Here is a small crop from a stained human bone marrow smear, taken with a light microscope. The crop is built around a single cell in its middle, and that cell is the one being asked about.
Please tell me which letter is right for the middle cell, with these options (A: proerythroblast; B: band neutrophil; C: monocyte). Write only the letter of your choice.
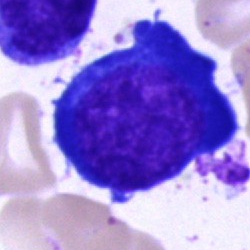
A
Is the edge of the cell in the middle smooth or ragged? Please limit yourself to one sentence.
The cytoplasmic margin is uneven, whether through ragged segments or through projections.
